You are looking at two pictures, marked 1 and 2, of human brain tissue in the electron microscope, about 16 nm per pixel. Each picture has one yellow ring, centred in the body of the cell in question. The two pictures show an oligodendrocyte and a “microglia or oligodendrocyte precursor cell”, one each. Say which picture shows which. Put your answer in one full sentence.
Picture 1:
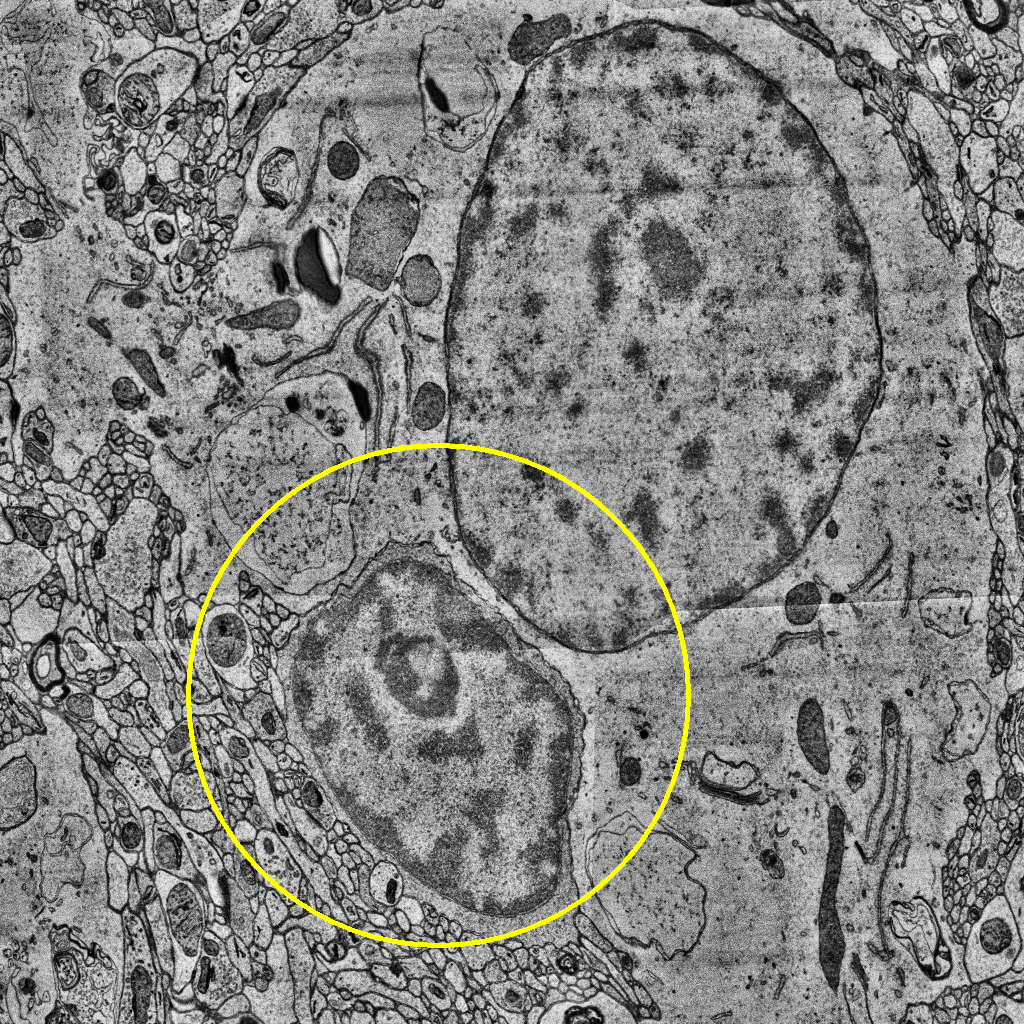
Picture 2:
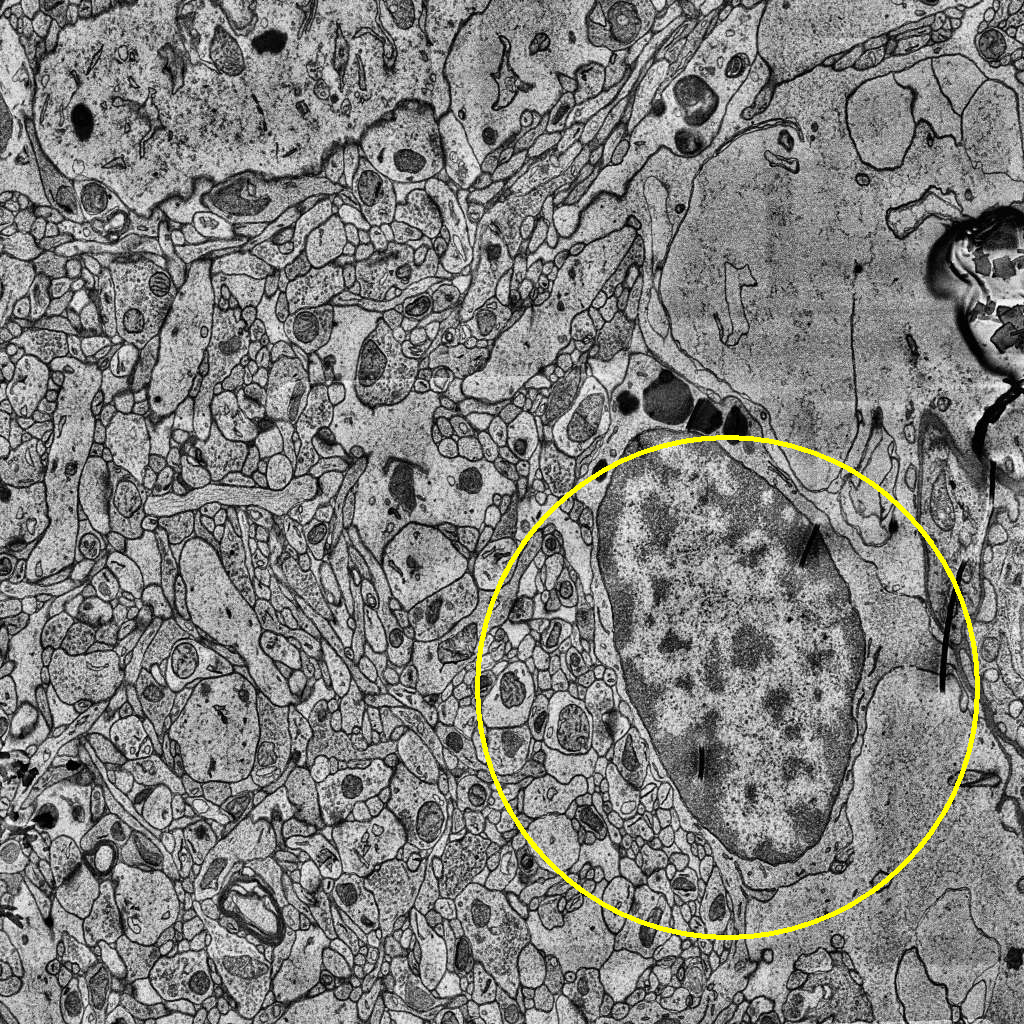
Picture 2 shows a “microglia or oligodendrocyte precursor cell”, while picture 1 shows an oligodendrocyte.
